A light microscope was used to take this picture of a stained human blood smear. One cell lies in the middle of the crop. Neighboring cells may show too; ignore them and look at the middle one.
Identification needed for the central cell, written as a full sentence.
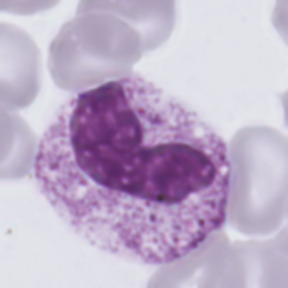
The cell at the middle of the frame should be recorded as a band neutrophil.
